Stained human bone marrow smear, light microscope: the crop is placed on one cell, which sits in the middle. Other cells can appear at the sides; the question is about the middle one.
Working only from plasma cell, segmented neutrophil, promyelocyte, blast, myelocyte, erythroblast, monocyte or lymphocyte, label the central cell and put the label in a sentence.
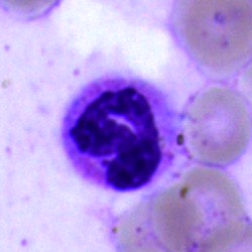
By classification, the middle cell of this crop is a segmented neutrophil.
